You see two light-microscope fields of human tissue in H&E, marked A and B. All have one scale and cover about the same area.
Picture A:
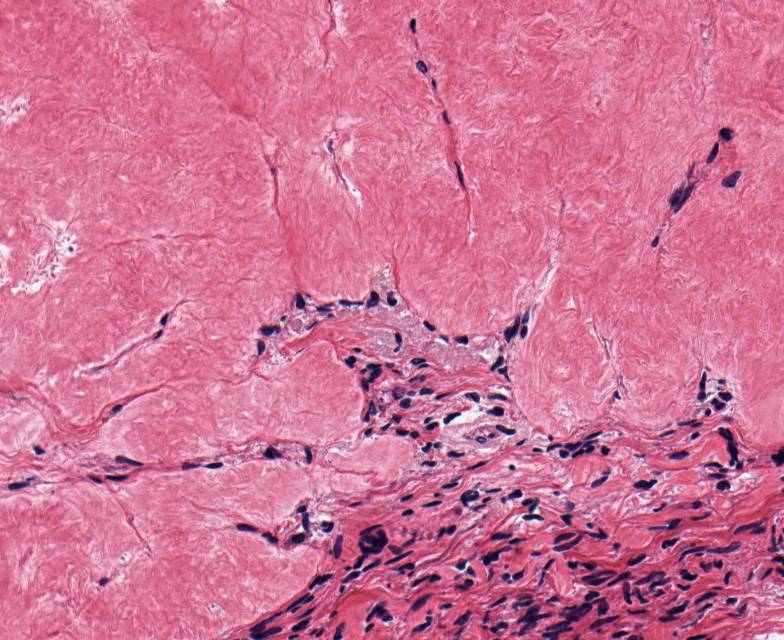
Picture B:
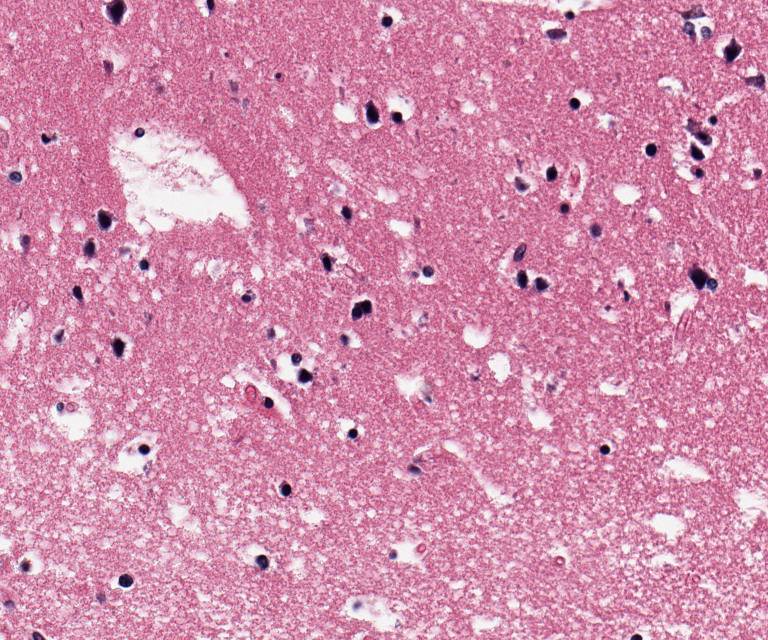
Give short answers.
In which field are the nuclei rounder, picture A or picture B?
B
